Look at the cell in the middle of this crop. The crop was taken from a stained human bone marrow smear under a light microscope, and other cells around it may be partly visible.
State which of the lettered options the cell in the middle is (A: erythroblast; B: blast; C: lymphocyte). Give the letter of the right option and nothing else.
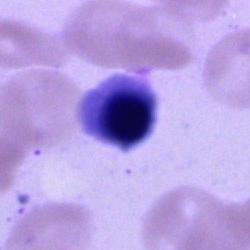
A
